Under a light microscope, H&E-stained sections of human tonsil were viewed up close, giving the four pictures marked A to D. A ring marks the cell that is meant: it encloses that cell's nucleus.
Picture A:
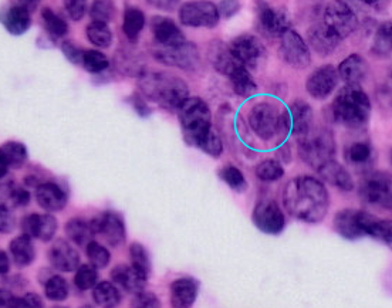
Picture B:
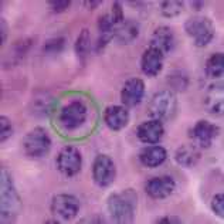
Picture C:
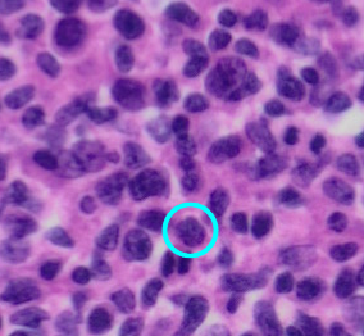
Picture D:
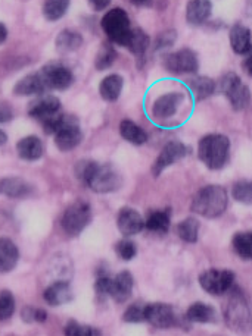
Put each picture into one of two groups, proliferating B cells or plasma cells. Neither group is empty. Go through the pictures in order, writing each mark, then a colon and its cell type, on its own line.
A: proliferating B cell
B: plasma cell
C: proliferating B cell
D: proliferating B cell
